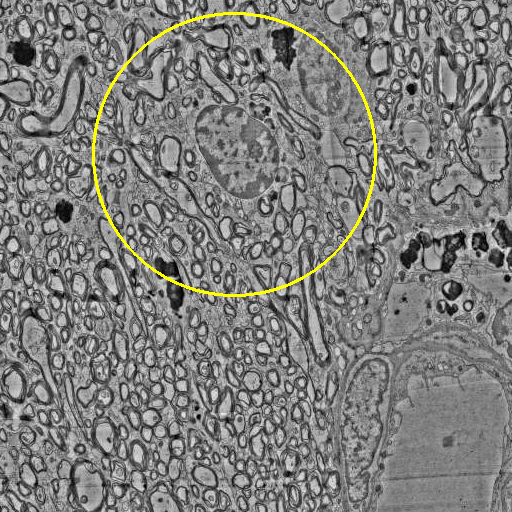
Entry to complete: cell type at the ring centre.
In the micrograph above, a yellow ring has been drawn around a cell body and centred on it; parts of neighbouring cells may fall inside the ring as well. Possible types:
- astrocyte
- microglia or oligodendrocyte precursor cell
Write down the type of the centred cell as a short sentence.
The ring is centred on a microglial cell or oligodendrocyte precursor cell.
